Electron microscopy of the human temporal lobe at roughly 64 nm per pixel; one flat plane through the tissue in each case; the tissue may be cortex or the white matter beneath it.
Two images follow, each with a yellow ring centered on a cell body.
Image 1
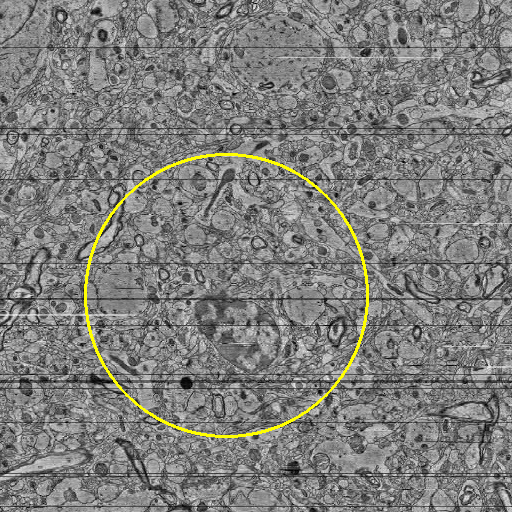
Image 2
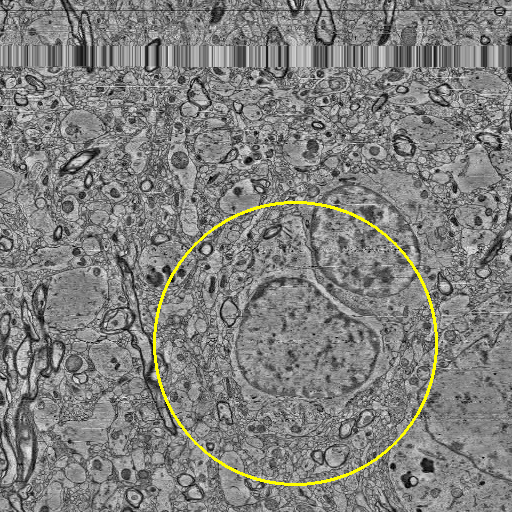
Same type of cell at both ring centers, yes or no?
yes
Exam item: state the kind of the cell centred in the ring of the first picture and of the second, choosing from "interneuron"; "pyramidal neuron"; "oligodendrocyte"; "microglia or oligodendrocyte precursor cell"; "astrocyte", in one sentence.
Each of the two cells is a microglial cell or oligodendrocyte precursor cell.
